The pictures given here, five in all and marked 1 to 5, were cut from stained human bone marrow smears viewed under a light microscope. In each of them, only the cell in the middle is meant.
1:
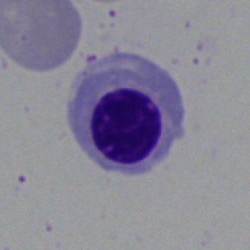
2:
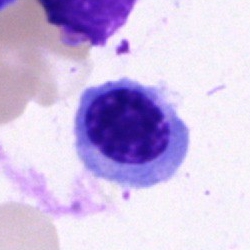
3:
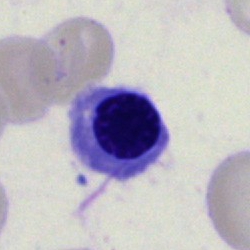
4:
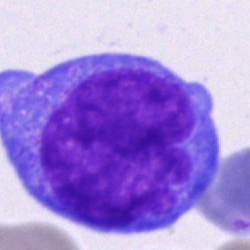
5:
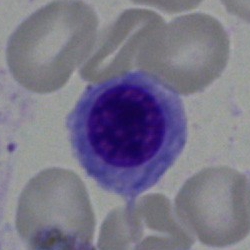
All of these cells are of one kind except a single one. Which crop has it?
4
